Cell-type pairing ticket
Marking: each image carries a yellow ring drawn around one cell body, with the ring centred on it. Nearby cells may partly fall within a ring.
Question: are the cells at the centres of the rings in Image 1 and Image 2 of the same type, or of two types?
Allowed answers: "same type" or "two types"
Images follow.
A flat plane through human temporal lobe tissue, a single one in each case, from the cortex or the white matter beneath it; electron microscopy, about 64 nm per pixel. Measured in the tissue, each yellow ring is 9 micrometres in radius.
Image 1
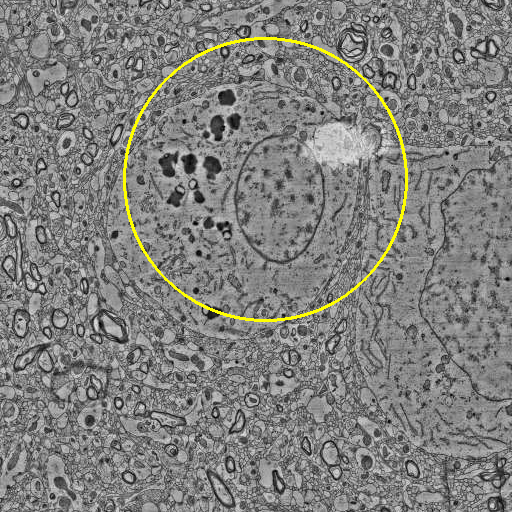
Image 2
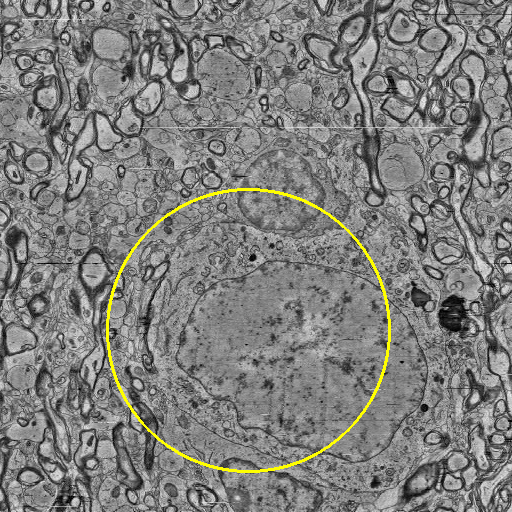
same type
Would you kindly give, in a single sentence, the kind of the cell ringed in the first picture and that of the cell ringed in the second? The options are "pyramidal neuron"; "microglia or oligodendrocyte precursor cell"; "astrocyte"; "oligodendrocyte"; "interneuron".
Each of the ringed cells, first and second, is a pyramidal neuron.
